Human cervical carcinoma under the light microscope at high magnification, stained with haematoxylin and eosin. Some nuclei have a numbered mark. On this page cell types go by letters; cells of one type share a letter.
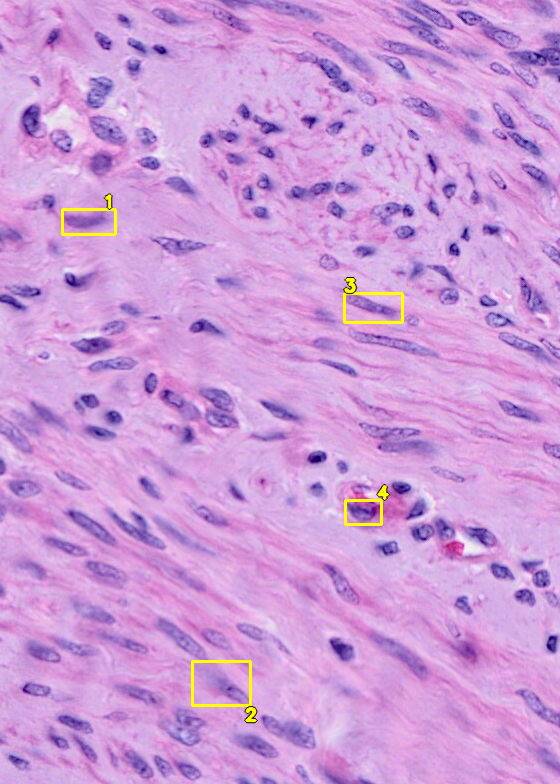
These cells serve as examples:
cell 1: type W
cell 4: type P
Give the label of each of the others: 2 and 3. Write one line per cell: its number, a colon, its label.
2: type W
3: type W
